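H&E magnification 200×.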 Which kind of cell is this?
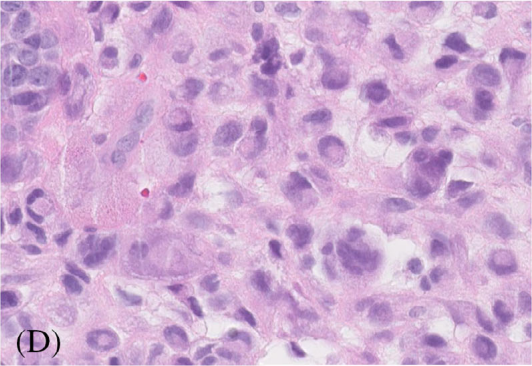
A: Cells with signet ring cell appearance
